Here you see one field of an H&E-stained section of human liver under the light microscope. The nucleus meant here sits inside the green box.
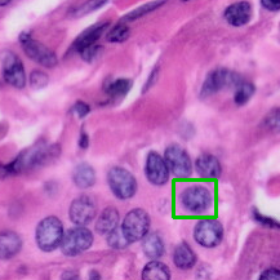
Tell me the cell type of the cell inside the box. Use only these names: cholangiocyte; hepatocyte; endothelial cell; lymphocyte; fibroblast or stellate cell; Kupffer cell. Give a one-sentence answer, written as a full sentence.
In cellular terms, the cell inside the box is a cholangiocyte.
